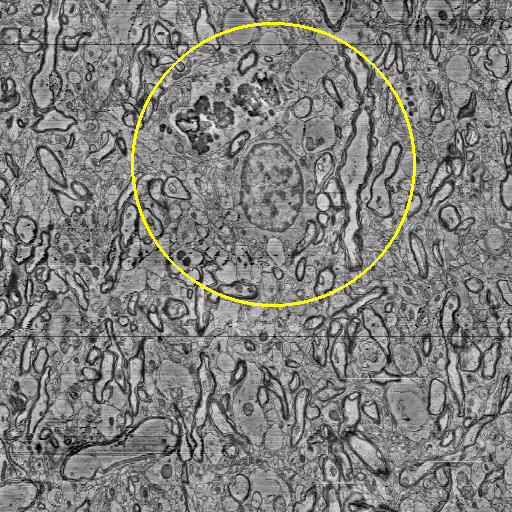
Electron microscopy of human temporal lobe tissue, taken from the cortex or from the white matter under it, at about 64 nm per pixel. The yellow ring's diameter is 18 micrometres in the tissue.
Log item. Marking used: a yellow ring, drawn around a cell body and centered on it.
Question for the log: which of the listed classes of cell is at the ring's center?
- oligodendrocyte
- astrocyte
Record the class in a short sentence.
At the center of the ring lies an oligodendrocyte.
